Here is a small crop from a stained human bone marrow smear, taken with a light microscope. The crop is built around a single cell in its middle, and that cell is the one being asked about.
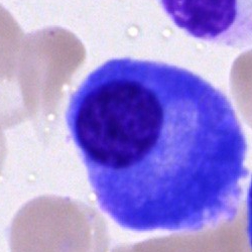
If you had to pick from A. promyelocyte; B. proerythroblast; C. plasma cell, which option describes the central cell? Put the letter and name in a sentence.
For this crop, option C is right, the centered cell being a plasma cell.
